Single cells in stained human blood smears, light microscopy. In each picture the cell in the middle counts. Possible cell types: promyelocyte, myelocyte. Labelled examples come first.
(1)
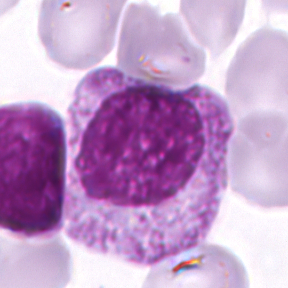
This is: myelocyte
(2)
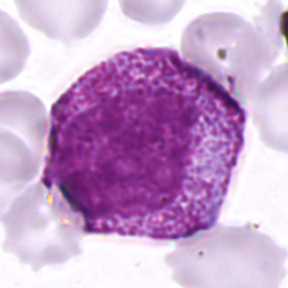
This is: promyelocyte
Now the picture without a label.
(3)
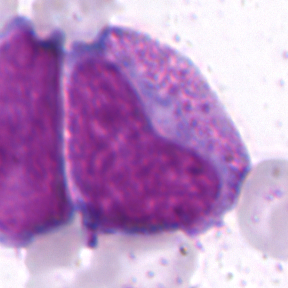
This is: promyelocyte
